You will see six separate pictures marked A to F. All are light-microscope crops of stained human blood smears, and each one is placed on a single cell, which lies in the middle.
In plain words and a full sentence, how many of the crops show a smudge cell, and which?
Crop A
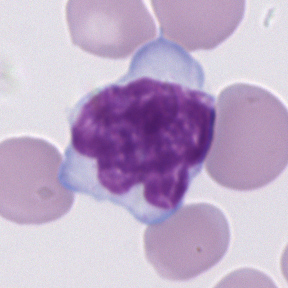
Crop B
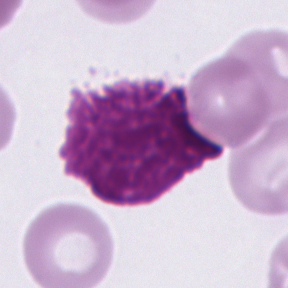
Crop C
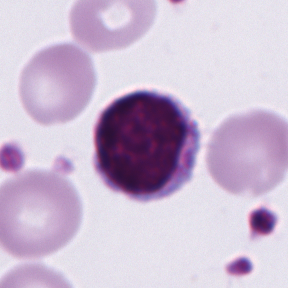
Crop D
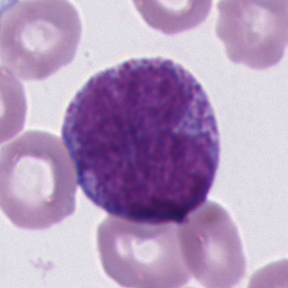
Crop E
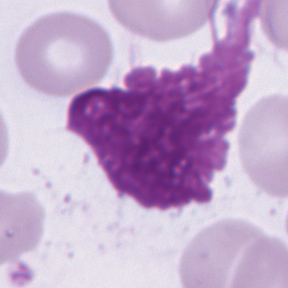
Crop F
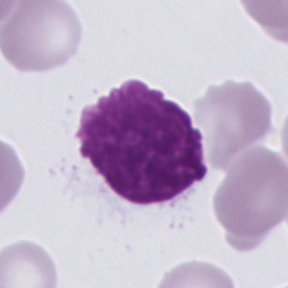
The cells in crops B, E and F are smudge cells, so three crops in all.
